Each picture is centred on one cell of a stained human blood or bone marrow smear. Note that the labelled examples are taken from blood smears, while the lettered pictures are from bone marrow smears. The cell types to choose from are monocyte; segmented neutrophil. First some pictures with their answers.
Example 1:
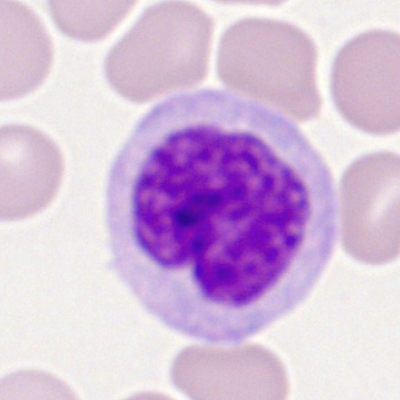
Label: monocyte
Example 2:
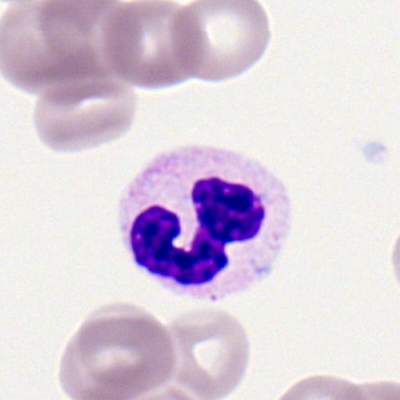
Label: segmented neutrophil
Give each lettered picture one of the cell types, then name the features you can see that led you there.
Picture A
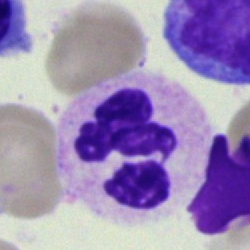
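Answer: segmented neutrophil. The cytoplasm is abundant and pale pink.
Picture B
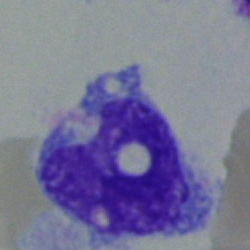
Answer: monocyte. The deep purple nuclear mass fills most of the cell.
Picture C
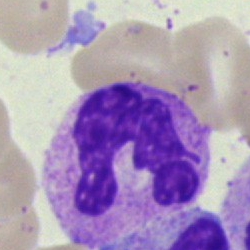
Answer: segmented neutrophil. Fine lilac granules are scattered evenly through the cytoplasm.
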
